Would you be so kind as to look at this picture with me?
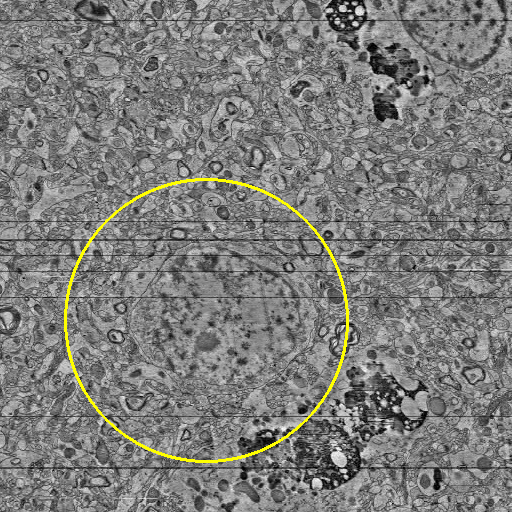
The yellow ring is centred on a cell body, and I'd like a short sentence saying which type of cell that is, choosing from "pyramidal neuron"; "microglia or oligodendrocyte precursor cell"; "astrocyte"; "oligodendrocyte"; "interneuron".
The cell body in the ring belongs to an interneuron.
